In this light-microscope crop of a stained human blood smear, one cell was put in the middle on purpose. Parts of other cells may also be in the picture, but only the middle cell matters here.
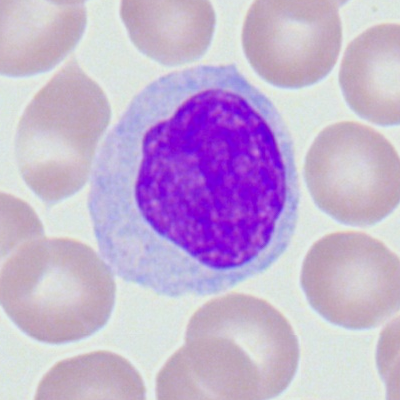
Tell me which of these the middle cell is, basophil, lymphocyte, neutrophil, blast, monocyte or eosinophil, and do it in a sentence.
The centrally placed cell is classified as a monocyte.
